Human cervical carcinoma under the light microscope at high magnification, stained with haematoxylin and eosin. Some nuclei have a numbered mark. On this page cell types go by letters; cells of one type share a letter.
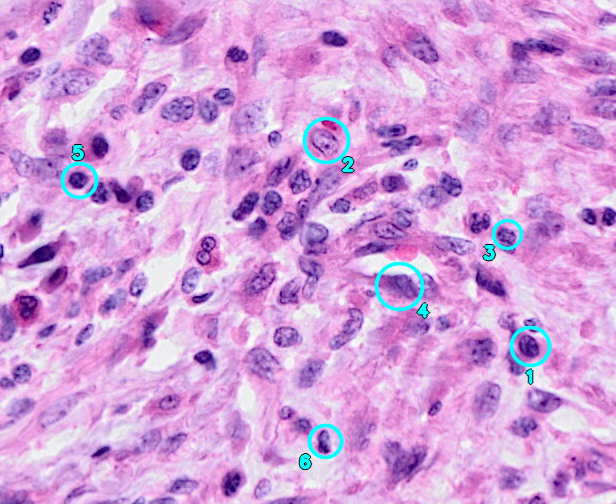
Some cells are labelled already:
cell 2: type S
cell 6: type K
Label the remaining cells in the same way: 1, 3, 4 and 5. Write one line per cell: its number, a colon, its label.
1: type K
3: type K
4: type S
5: type K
